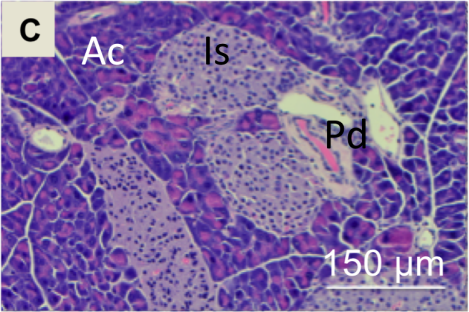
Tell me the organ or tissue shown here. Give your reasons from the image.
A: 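Pale cell clusters lie amid darker purple glandular acini. Acinar cells show pink apical granules. A small duct lies beside the pale clusters. So: Pancreas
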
